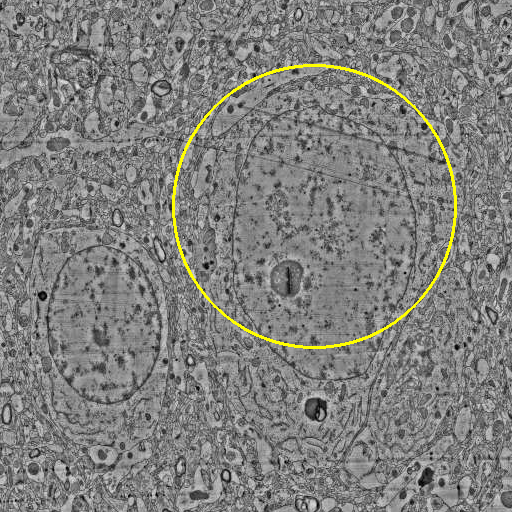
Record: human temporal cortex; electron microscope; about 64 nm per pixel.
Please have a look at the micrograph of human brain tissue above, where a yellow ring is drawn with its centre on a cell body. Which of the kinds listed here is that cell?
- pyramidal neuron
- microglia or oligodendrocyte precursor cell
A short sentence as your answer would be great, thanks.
At the centre of the ring sits a pyramidal neuron.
